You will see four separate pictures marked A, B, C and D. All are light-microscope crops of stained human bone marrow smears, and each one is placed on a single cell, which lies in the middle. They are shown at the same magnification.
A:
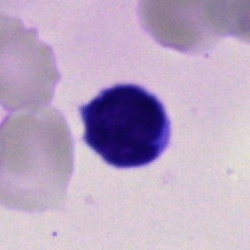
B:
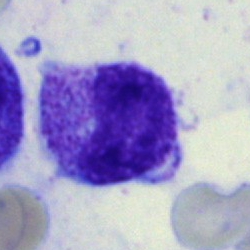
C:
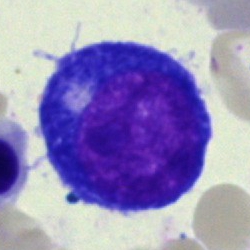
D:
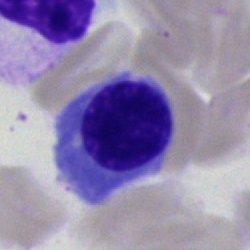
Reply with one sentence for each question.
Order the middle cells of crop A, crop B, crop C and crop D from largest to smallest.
The order is C, B, D, A, beginning with the largest.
